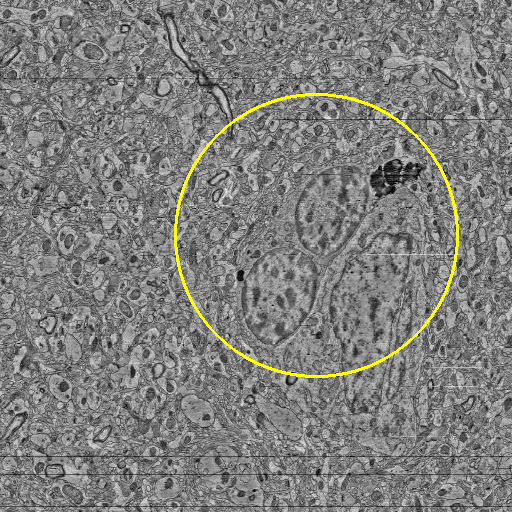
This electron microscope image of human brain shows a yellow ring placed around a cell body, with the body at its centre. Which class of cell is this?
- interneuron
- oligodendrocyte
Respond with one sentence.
The cell body at the ring's centre is an oligodendrocyte.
